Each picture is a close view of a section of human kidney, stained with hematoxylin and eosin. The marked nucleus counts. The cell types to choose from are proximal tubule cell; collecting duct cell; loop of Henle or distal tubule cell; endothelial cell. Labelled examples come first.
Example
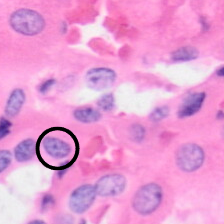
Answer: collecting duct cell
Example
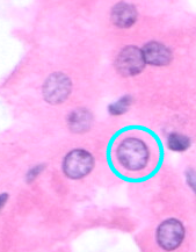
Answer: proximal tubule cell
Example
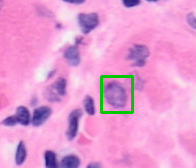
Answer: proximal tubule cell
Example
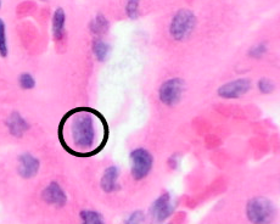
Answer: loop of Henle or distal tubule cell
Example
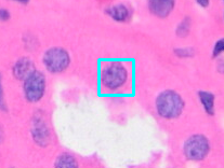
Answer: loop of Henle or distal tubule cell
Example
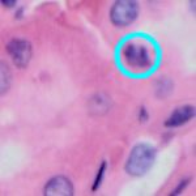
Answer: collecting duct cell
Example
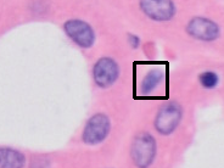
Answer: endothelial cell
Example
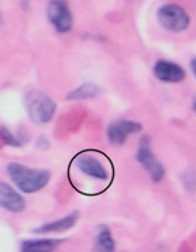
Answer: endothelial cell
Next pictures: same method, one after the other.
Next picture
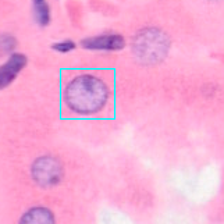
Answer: proximal tubule cell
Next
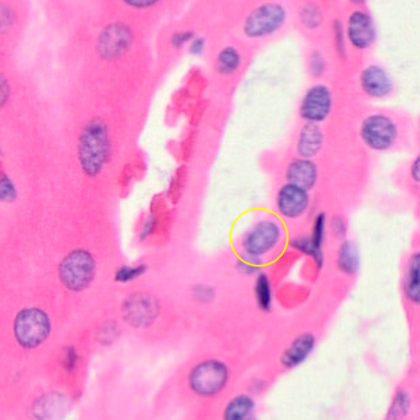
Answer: collecting duct cell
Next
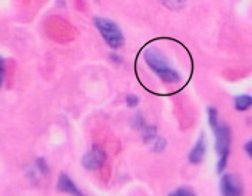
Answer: endothelial cell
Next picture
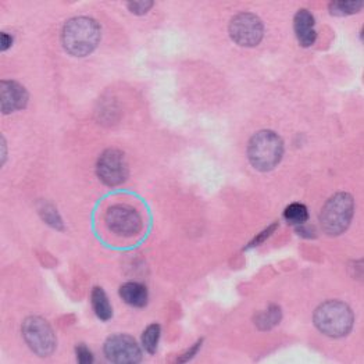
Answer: proximal tubule cell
